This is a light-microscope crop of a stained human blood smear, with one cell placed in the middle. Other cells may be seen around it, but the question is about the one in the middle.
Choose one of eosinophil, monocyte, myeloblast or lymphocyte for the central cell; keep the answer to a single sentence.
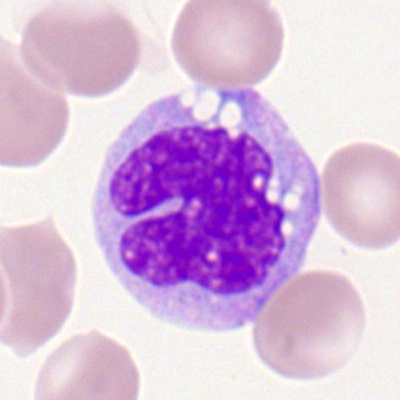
The centrally located cell in the crop is a monocyte.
